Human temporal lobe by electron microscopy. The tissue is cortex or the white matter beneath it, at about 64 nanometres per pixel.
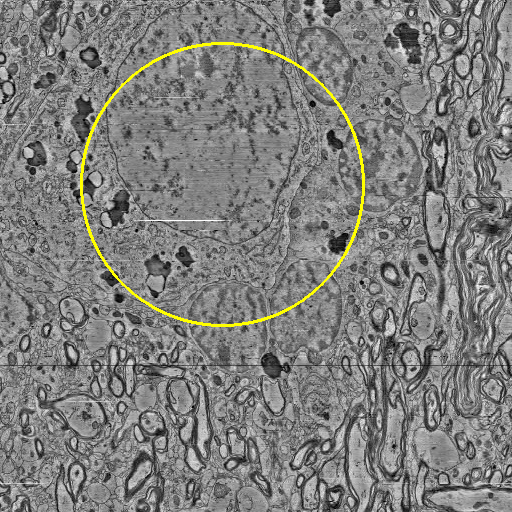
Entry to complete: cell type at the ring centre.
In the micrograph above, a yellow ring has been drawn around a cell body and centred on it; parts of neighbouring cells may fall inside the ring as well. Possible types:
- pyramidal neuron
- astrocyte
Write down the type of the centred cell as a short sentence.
The ring is centred on a pyramidal neuron.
